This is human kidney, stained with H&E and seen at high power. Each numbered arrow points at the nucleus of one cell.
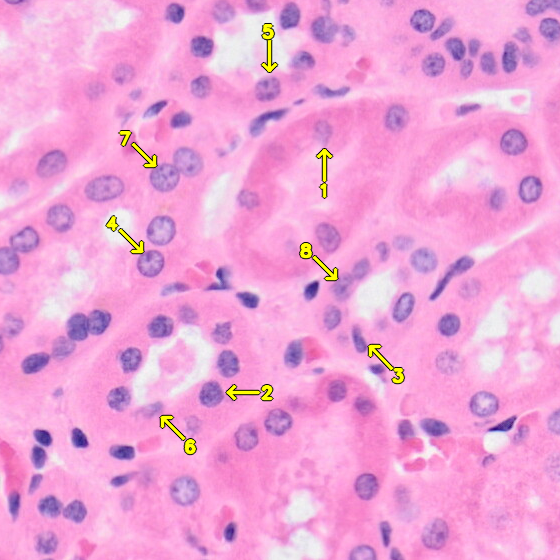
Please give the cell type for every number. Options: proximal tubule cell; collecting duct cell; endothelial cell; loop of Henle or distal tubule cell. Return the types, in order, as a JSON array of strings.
["proximal tubule cell", "loop of Henle or distal tubule cell", "collecting duct cell", "proximal tubule cell", "loop of Henle or distal tubule cell", "loop of Henle or distal tubule cell", "proximal tubule cell", "collecting duct cell"]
